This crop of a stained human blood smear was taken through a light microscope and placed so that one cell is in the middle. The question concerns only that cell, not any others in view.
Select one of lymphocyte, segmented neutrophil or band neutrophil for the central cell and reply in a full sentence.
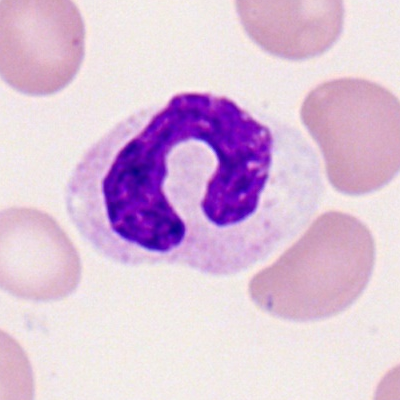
Of the cells in this crop, the central one is a band neutrophil.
